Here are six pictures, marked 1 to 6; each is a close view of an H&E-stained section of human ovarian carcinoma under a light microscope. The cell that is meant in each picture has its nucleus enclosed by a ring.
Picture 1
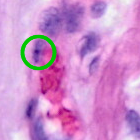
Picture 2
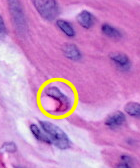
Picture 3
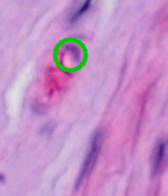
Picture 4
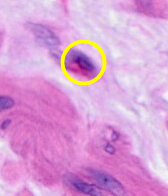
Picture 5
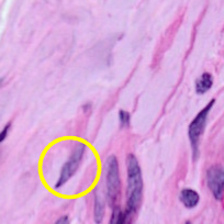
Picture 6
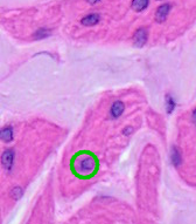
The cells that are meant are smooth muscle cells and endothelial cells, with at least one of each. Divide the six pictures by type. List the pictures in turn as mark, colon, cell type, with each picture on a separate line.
1: endothelial cell
2: endothelial cell
3: endothelial cell
4: endothelial cell
5: smooth muscle cell
6: smooth muscle cell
